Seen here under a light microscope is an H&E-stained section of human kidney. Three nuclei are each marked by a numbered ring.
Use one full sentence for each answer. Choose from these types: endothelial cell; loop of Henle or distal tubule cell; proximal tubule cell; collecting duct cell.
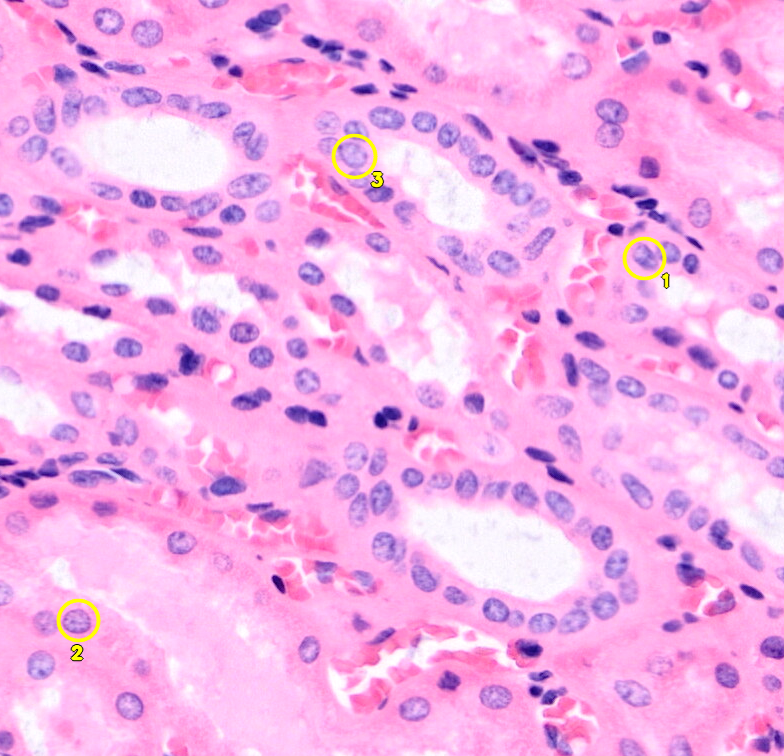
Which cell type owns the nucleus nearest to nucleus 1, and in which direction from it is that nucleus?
A collecting duct cell lies closest, to the right of nucleus 1.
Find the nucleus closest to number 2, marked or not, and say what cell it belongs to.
The nearest nucleus to number 2 belongs to a proximal tubule cell.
